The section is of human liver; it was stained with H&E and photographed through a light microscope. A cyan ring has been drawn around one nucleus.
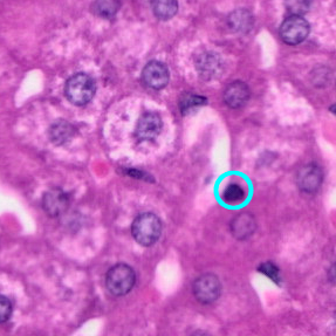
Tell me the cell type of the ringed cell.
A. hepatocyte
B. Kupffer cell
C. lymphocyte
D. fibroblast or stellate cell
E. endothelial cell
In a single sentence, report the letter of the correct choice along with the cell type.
The right pick is option D; the ringed cell is a fibroblast or stellate cell.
